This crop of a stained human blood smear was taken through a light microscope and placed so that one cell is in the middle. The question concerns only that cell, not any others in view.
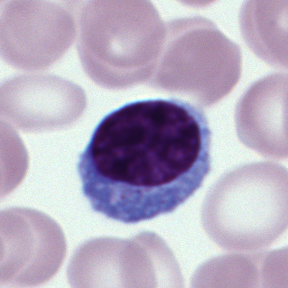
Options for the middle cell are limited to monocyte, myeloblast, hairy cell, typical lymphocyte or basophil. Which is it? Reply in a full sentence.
The cell at the central position in this crop is a typical lymphocyte.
